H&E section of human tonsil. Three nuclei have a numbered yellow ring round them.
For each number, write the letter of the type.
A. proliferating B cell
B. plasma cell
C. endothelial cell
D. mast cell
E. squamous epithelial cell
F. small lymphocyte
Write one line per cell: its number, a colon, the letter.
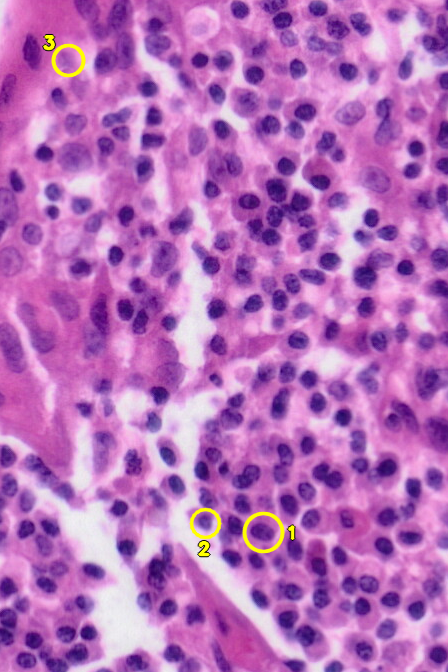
1: B
2: B
3: E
